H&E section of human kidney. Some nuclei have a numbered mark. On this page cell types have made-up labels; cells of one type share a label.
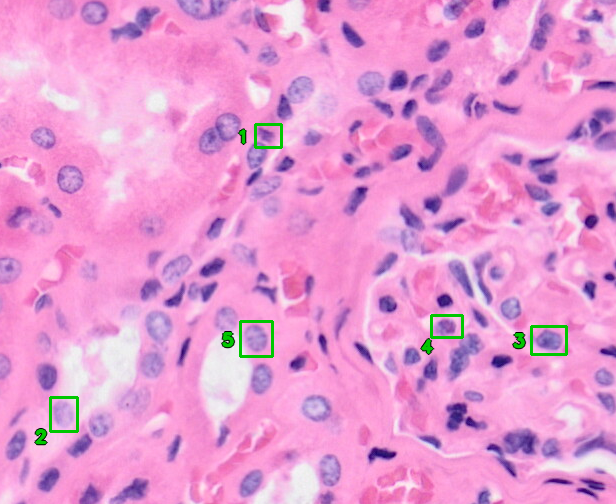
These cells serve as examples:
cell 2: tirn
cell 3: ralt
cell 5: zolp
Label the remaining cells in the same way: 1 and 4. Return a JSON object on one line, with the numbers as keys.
{"1": "tirn", "4": "ralt"}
